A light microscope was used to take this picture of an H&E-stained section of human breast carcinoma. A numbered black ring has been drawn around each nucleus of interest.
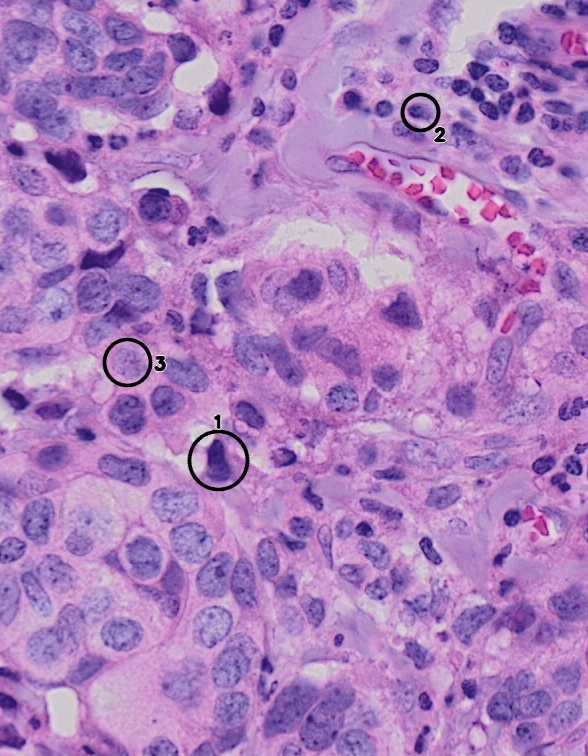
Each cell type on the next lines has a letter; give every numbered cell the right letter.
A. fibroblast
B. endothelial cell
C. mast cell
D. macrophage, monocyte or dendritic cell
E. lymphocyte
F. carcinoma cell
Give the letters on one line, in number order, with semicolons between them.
F; E; F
